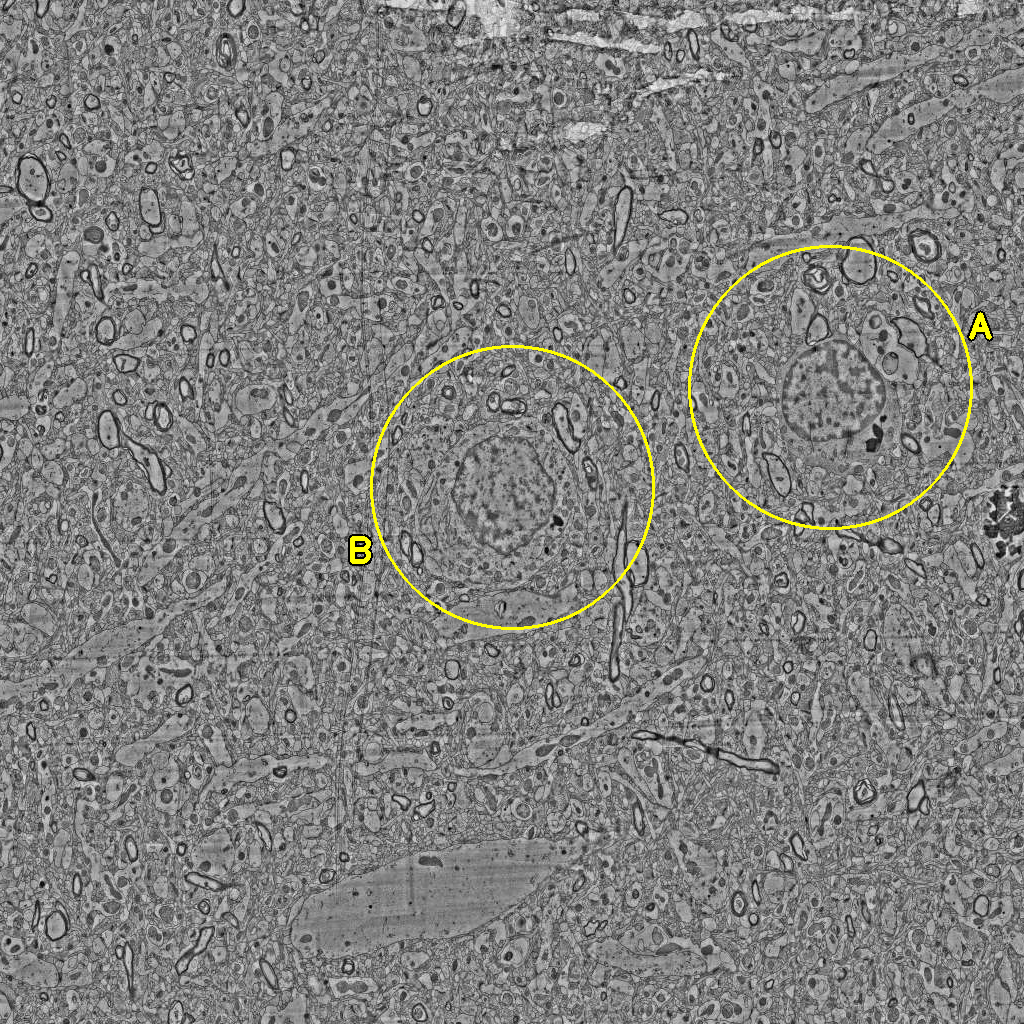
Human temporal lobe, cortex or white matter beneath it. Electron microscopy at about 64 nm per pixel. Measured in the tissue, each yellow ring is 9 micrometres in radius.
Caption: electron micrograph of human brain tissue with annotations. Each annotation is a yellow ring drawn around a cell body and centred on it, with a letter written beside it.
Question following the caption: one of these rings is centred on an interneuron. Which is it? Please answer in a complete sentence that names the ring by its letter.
The ring with the letter B is centred on it.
